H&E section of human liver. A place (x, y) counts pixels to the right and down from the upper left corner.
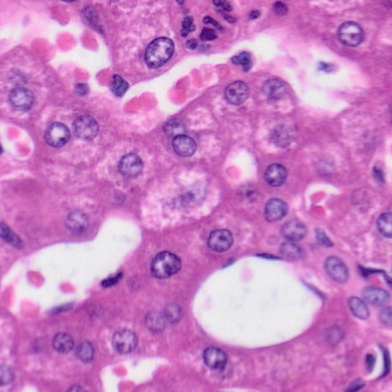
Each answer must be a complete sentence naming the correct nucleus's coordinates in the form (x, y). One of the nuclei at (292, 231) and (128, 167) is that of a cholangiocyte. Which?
Of the pair, the nucleus positioned at (292, 231) is that of a cholangiocyte.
